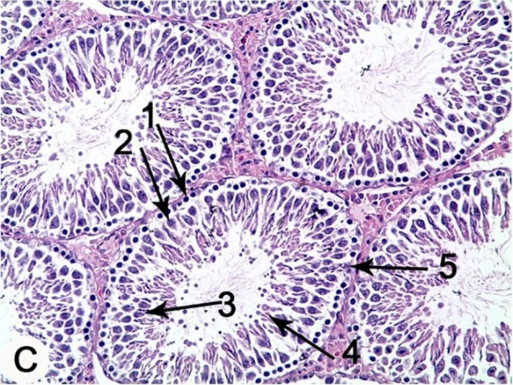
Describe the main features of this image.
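Seminiferous tubules here keep a basal row of spermatogonia and rounded spermatocytes, but the inner layers look loosened. Elongated dark spermatids crowd toward the lumen, while the lumen itself is pale and open without dense bundles of sperm tails. Thin interstitial tissue lies between the tubules.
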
